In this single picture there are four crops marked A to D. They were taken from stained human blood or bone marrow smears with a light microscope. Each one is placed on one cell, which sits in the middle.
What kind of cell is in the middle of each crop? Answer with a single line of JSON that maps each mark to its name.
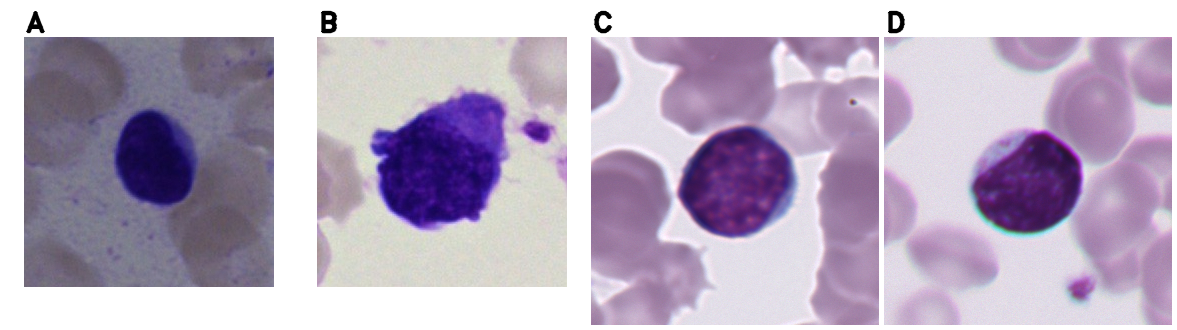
{"A": "lymphocyte", "B": "blast", "C": "lymphocyte", "D": "lymphocyte"}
